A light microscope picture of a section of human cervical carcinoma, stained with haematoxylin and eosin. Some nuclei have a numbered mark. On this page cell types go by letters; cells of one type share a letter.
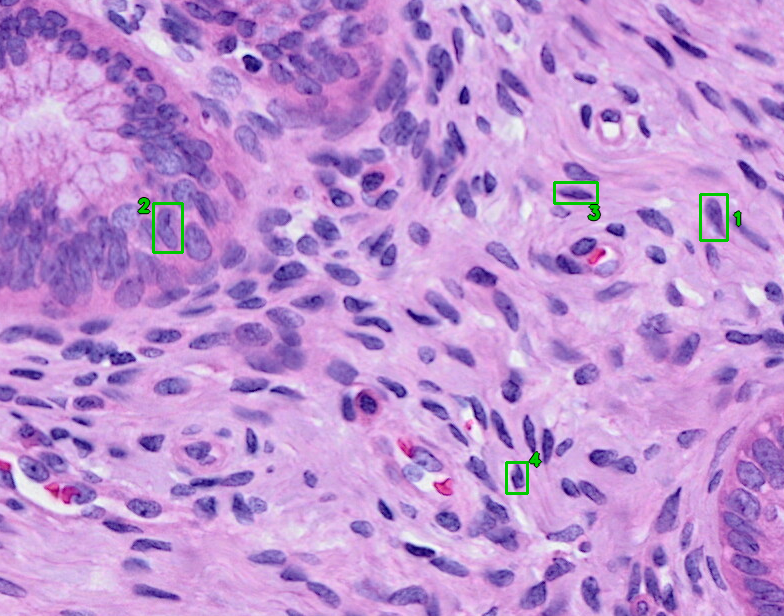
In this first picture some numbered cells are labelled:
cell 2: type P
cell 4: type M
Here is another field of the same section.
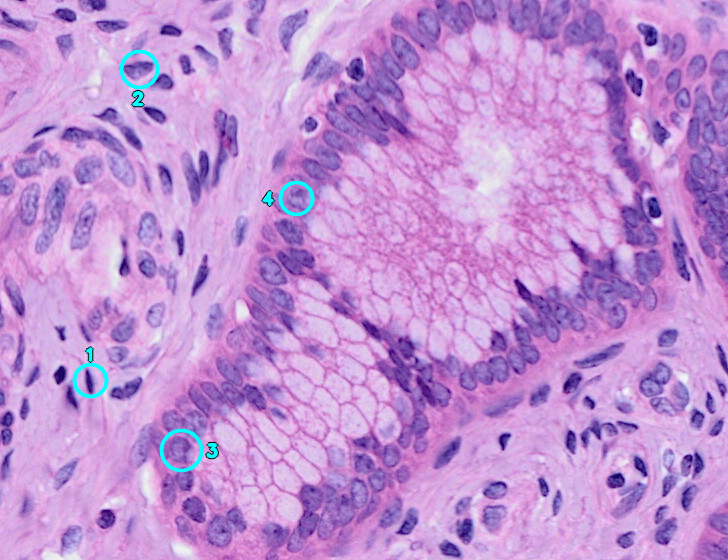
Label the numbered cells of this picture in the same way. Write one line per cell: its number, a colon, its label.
1: type M
2: type M
3: type P
4: type P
